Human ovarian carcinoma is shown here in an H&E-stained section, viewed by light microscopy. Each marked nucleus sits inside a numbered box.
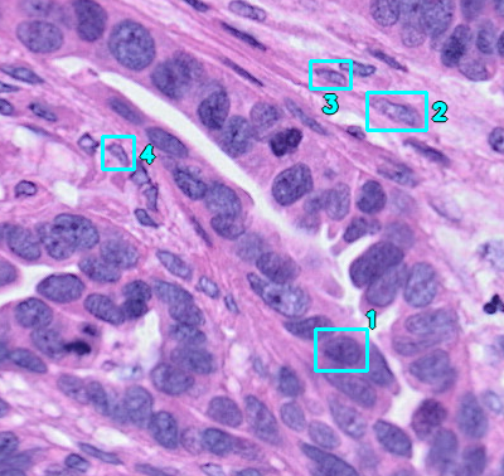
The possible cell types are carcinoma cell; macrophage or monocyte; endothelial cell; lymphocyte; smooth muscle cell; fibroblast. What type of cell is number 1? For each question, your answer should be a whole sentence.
The one numbered 1 among the marked cells is a carcinoma cell.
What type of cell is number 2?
The cell tagged with 2 in this tissue section is a fibroblast.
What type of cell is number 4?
The cell carrying label 4 is identified as a fibroblast.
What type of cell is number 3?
Number 3 among the marked cells is a fibroblast.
